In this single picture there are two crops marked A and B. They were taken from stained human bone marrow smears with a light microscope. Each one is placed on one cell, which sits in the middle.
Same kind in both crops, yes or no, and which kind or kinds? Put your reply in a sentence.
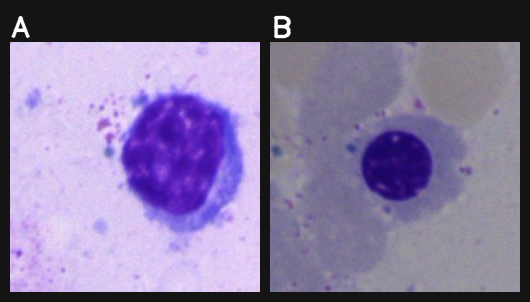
No, the cell at the middle of crop A is a lymphocyte, while crop B centres on an erythroblast.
